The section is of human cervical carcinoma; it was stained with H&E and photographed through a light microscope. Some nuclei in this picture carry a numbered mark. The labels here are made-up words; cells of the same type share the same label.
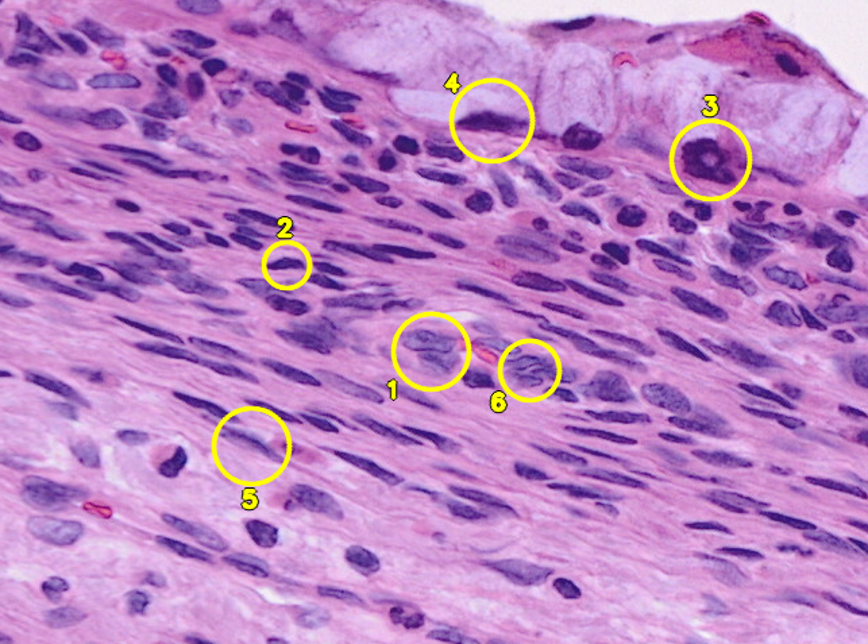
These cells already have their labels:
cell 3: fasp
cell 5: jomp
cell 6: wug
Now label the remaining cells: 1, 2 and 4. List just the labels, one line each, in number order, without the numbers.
wug
jomp
fasp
